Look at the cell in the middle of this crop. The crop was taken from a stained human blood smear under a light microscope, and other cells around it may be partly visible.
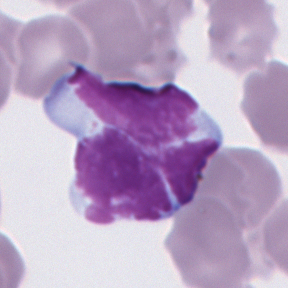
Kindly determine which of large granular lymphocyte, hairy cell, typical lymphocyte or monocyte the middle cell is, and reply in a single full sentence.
By classification, the middle cell of this crop is a typical lymphocyte.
